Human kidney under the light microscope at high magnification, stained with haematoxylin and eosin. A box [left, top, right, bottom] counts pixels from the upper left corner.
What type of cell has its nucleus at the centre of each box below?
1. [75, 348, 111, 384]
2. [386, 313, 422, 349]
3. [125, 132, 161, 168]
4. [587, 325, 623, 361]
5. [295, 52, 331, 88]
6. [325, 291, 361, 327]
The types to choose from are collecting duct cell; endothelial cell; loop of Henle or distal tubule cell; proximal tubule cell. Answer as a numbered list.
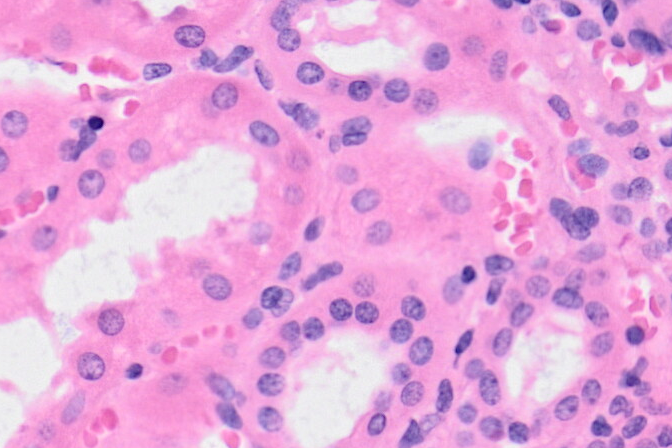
1. proximal tubule cell
2. collecting duct cell
3. proximal tubule cell
4. collecting duct cell
5. collecting duct cell
6. collecting duct cell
